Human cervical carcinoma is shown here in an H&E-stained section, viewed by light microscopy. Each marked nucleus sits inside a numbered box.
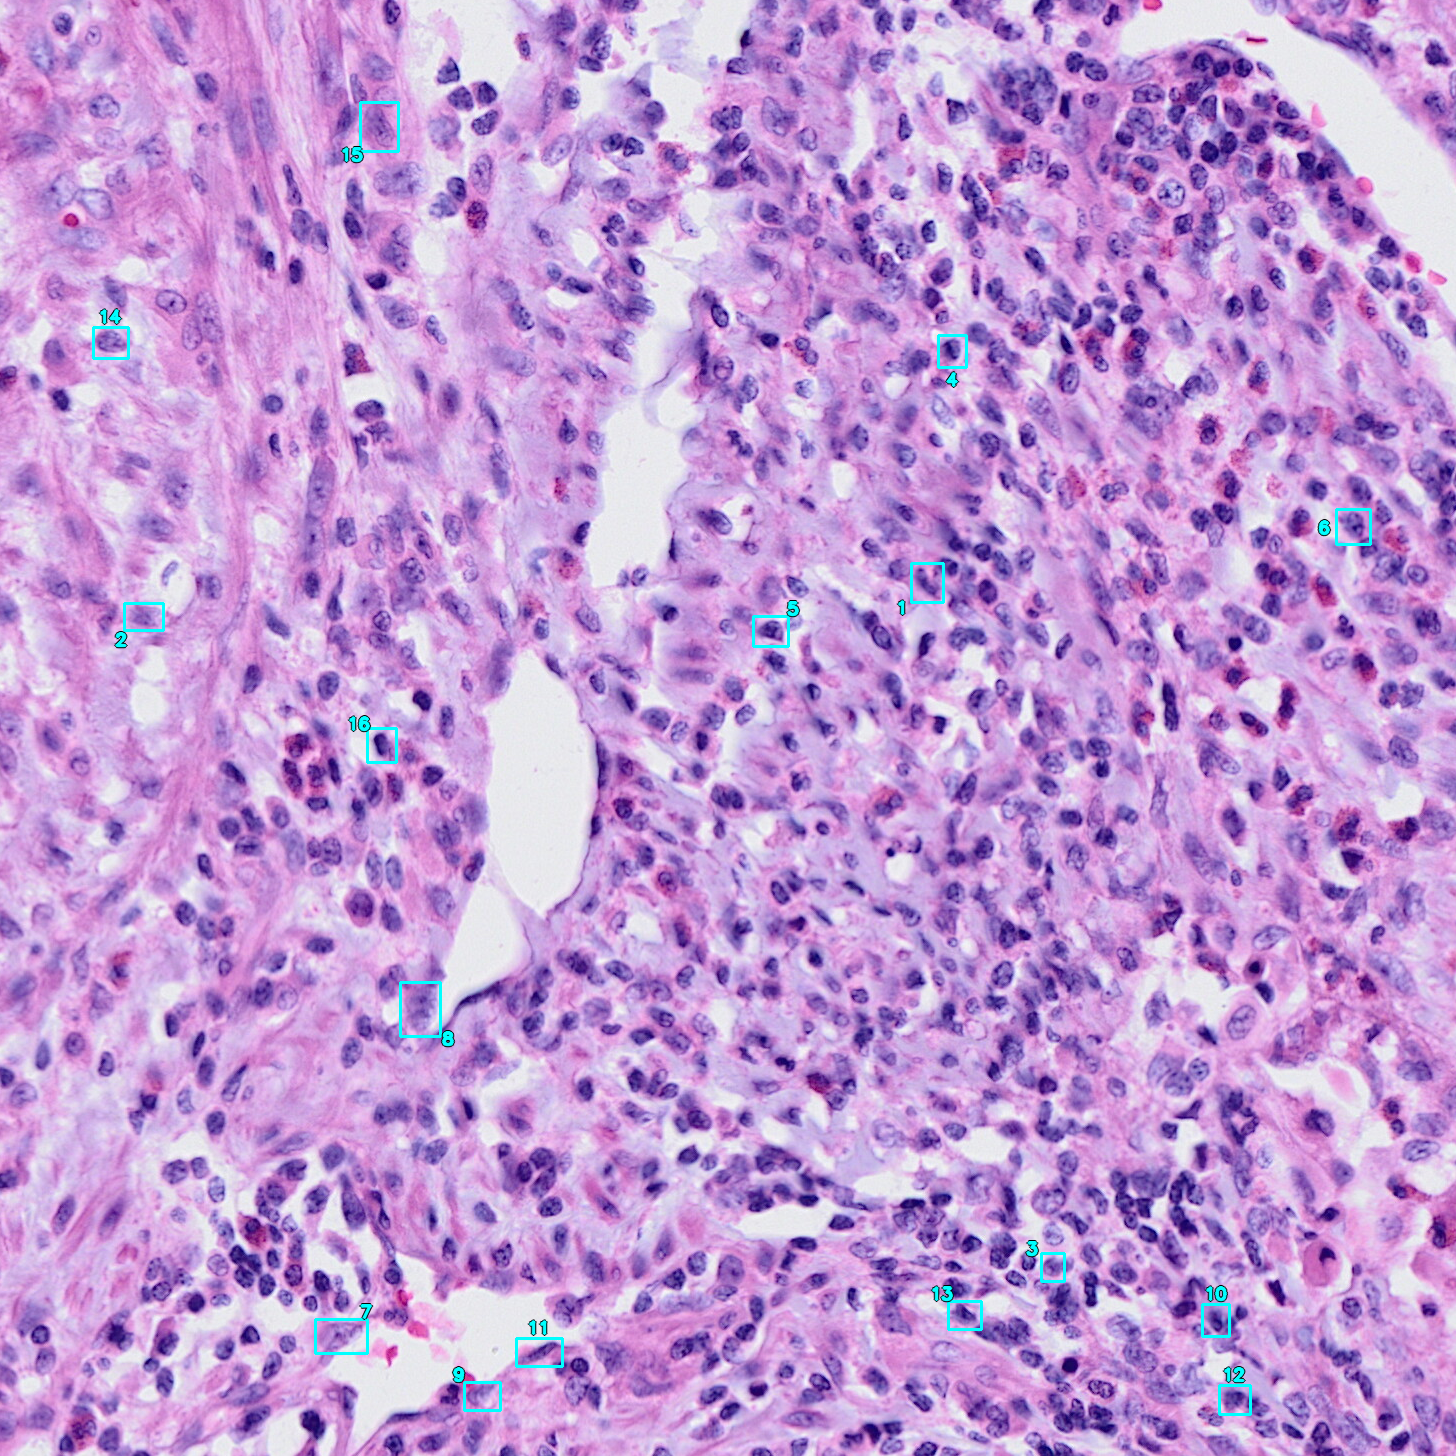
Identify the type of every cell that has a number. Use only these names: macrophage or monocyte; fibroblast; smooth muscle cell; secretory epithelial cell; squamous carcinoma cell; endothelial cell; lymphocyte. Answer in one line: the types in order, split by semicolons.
lymphocyte; fibroblast; lymphocyte; lymphocyte; lymphocyte; lymphocyte; endothelial cell; endothelial cell; endothelial cell; lymphocyte; endothelial cell; lymphocyte; lymphocyte; macrophage or monocyte; endothelial cell; lymphocyte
